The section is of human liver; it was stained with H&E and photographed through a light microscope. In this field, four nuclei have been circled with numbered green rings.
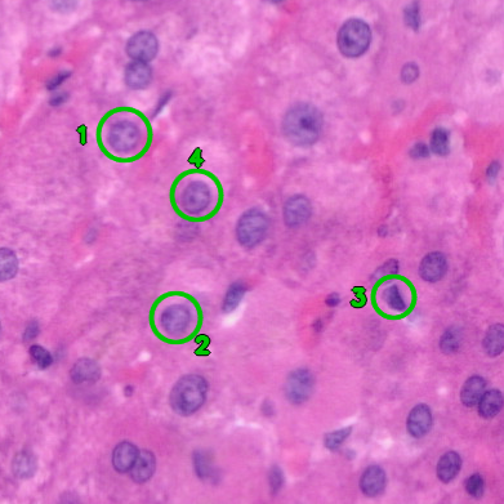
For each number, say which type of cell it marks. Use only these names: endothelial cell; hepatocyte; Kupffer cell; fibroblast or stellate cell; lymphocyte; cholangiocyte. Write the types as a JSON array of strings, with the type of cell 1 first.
["hepatocyte", "hepatocyte", "fibroblast or stellate cell", "hepatocyte"]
